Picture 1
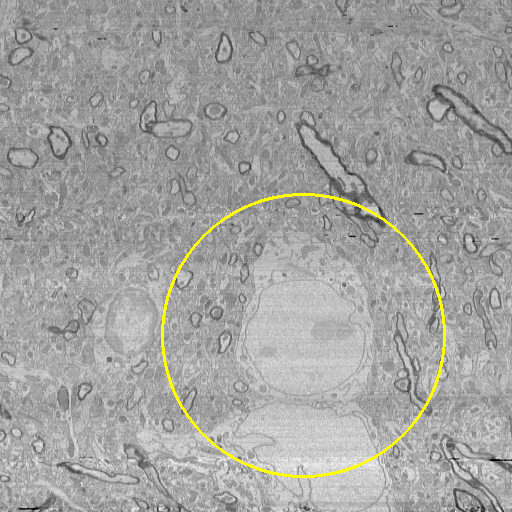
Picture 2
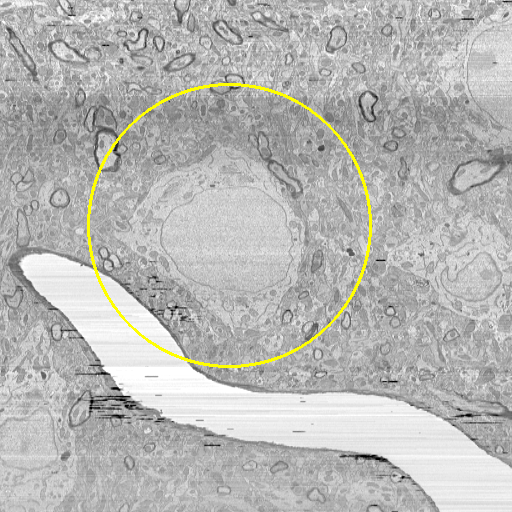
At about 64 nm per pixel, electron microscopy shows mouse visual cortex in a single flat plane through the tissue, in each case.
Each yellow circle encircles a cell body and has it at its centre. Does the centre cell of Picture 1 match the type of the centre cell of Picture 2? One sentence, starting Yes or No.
Yes, the cell centred in Picture 1 and the one in Picture 2 share a type.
